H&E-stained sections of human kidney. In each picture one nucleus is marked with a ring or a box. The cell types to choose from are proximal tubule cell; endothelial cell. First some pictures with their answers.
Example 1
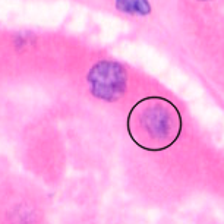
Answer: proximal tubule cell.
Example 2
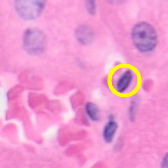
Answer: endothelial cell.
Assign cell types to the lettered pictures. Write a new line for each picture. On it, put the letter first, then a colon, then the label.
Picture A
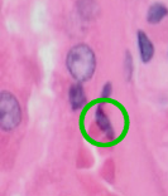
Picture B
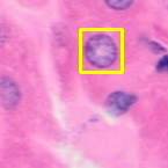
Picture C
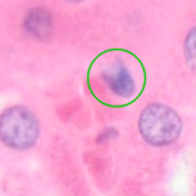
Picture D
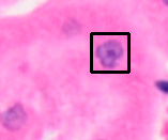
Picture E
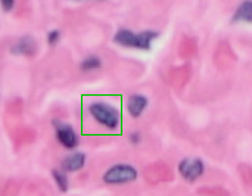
A: endothelial cell.
B: proximal tubule cell.
C: endothelial cell.
D: proximal tubule cell.
E: endothelial cell.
